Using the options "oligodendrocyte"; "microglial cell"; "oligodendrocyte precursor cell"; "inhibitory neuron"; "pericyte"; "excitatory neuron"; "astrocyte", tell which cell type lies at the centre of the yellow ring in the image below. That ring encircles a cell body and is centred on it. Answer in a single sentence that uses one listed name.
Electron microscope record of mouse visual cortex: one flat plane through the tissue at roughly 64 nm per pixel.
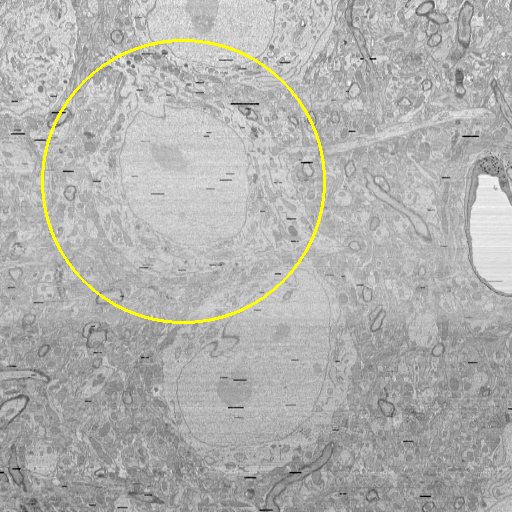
At the centre of the yellow ring lies the body of an inhibitory neuron.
